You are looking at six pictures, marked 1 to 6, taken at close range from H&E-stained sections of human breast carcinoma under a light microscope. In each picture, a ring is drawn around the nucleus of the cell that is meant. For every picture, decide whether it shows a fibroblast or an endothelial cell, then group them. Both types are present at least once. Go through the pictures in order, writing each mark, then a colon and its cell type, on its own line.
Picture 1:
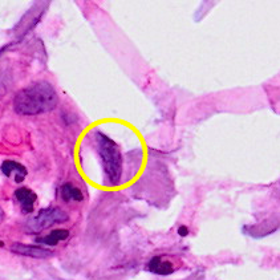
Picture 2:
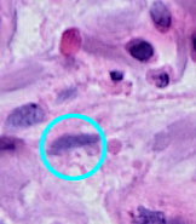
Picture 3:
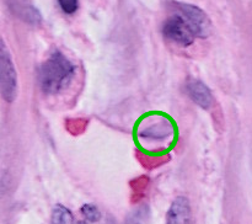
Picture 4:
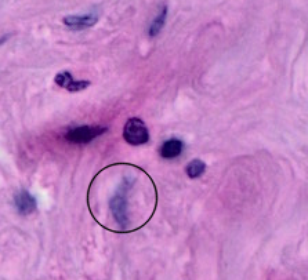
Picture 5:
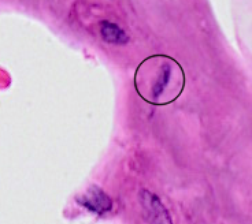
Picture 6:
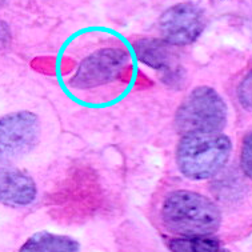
1: fibroblast
2: fibroblast
3: endothelial cell
4: fibroblast
5: fibroblast
6: endothelial cell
